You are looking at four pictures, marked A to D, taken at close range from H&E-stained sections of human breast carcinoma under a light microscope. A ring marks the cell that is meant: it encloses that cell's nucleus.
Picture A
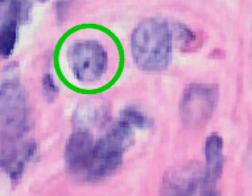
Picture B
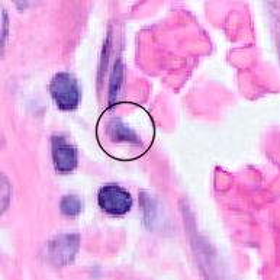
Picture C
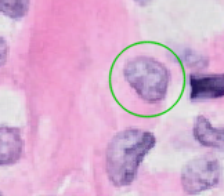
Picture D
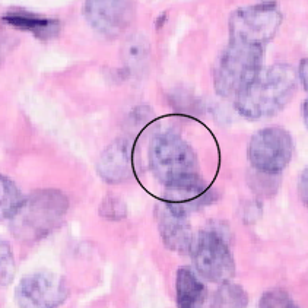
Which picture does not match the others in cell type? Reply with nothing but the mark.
B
